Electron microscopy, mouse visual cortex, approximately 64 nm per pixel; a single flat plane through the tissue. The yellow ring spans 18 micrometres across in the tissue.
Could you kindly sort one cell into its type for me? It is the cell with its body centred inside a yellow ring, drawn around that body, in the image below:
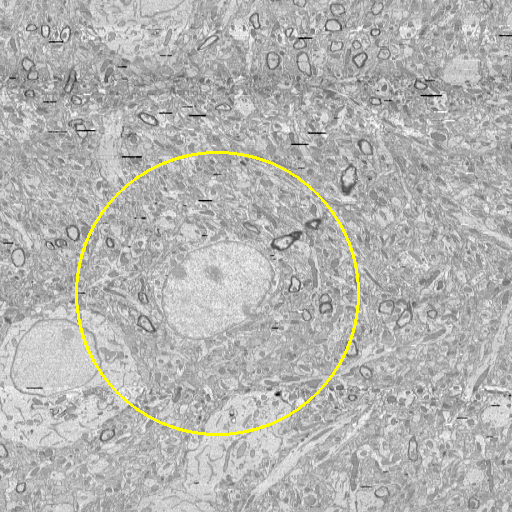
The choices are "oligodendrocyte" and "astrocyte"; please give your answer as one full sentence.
The cell whose body lies centred in the yellow ring here is an astrocyte.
